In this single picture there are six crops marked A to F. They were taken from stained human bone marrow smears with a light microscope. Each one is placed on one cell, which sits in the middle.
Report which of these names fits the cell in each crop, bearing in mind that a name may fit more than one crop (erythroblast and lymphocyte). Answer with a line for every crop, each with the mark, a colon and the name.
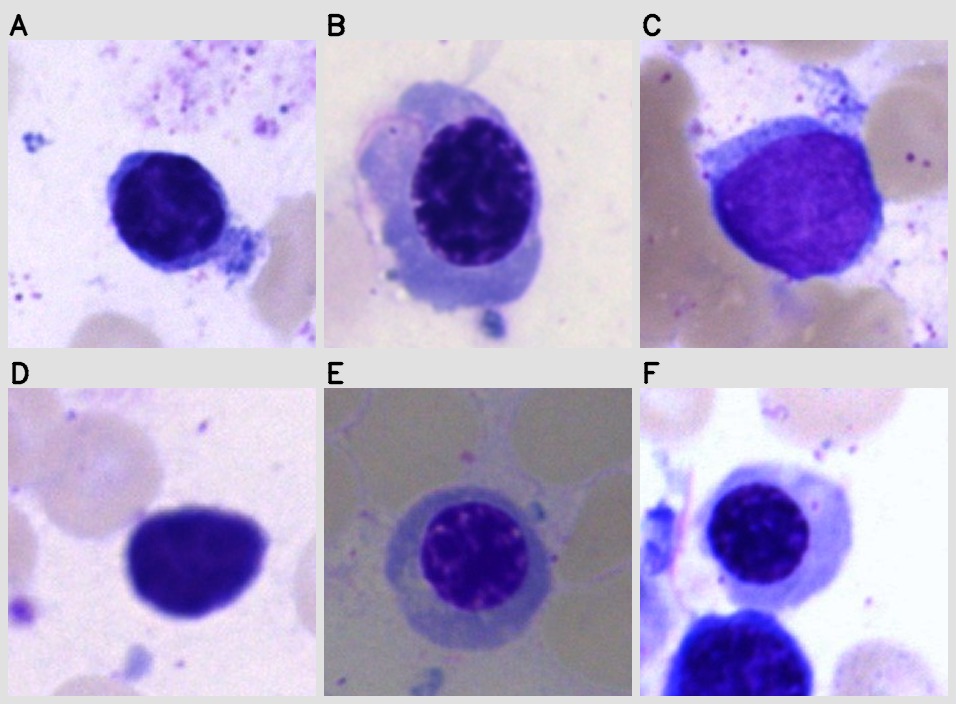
A: lymphocyte
B: erythroblast
C: lymphocyte
D: lymphocyte
E: erythroblast
F: erythroblast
